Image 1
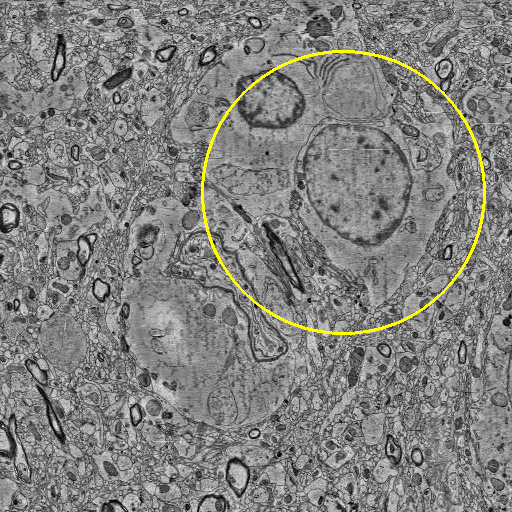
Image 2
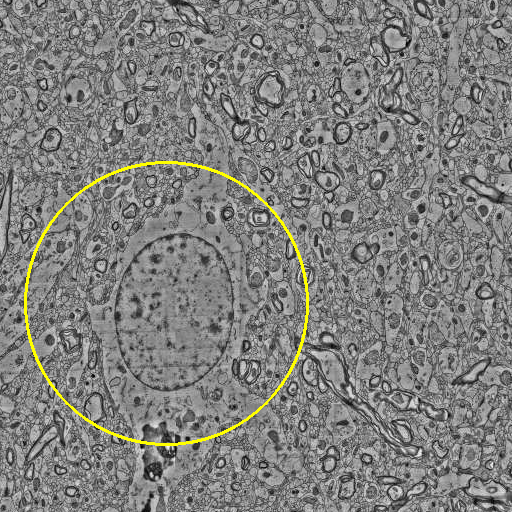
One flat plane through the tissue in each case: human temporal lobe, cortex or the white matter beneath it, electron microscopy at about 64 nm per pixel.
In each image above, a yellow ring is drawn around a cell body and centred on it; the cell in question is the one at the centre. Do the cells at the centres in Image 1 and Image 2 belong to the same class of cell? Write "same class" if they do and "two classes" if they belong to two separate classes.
same class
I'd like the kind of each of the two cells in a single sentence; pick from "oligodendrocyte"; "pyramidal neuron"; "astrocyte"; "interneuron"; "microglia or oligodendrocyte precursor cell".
Each of the two rings is centred on an astrocyte.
